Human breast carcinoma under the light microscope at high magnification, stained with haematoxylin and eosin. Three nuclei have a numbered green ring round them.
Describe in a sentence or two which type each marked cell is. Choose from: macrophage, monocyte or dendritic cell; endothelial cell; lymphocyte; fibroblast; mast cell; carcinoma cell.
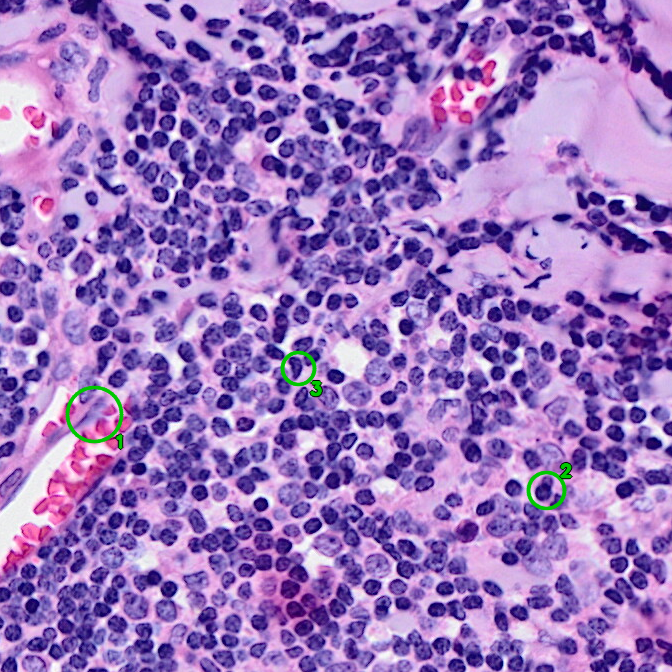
Cell 1 is an endothelial cell, cell 2 is a lymphocyte and cell 3 is a lymphocyte.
